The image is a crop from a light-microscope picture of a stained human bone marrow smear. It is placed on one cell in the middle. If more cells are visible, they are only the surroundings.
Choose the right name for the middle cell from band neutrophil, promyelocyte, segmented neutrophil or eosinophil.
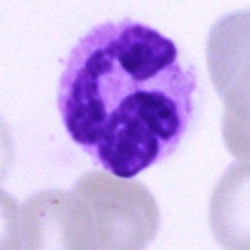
segmented neutrophil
